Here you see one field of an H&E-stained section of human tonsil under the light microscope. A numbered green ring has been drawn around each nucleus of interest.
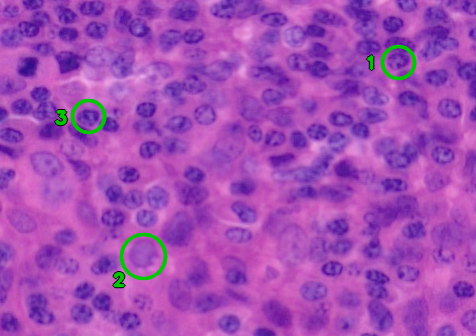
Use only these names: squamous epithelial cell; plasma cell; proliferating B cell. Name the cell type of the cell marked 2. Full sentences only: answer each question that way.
Cell 2 of the marked set is a squamous epithelial cell.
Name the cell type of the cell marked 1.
At number 1, the marked cell is a plasma cell.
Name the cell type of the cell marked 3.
The numbered cell 3 in this field is a plasma cell.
